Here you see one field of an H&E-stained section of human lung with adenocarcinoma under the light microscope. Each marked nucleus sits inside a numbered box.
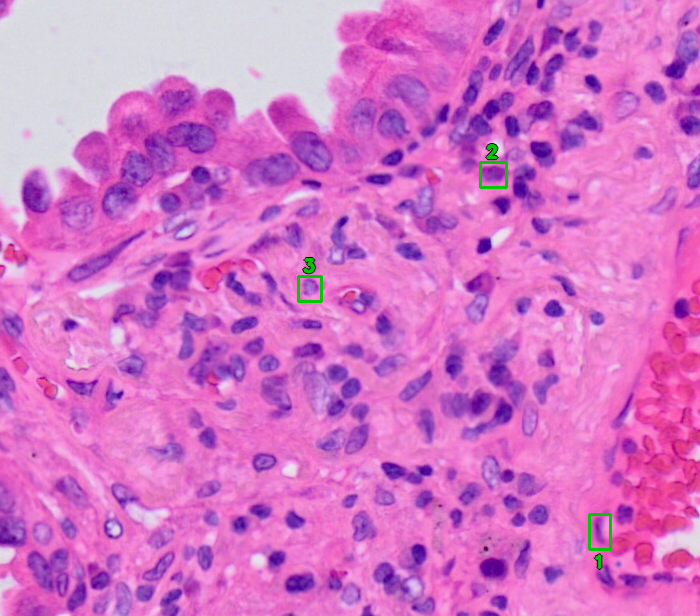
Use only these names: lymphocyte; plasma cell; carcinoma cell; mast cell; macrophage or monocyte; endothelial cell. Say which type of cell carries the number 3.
mast cell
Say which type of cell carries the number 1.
endothelial cell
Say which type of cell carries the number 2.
plasma cell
